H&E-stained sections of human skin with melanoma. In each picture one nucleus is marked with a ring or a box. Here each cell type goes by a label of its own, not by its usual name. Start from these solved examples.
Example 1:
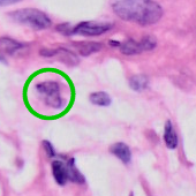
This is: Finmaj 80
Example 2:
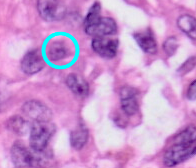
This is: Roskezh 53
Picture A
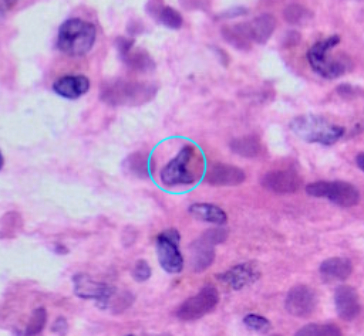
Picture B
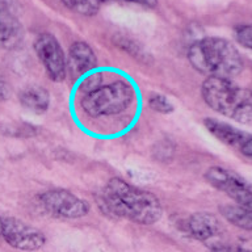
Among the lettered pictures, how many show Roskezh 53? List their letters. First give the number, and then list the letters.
1: B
